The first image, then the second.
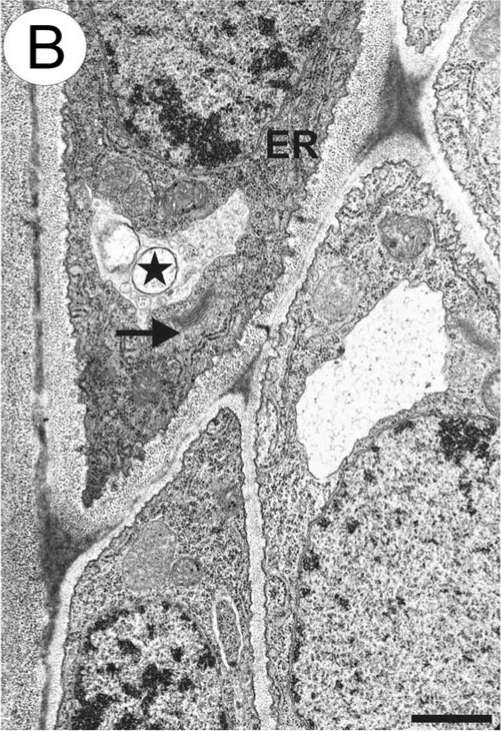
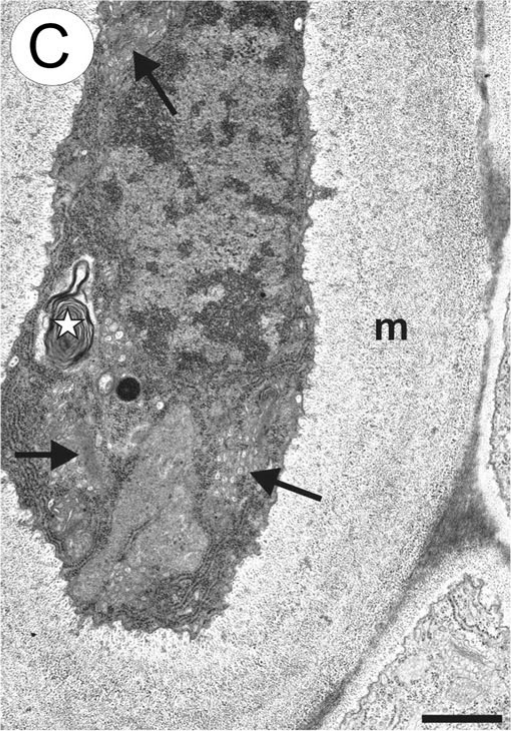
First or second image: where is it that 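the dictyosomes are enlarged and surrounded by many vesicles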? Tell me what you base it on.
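Second image: the arrowed regions are broad areas of membranes with many small vesicles. First image: the arrowed stack is small and compact. So: the second image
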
